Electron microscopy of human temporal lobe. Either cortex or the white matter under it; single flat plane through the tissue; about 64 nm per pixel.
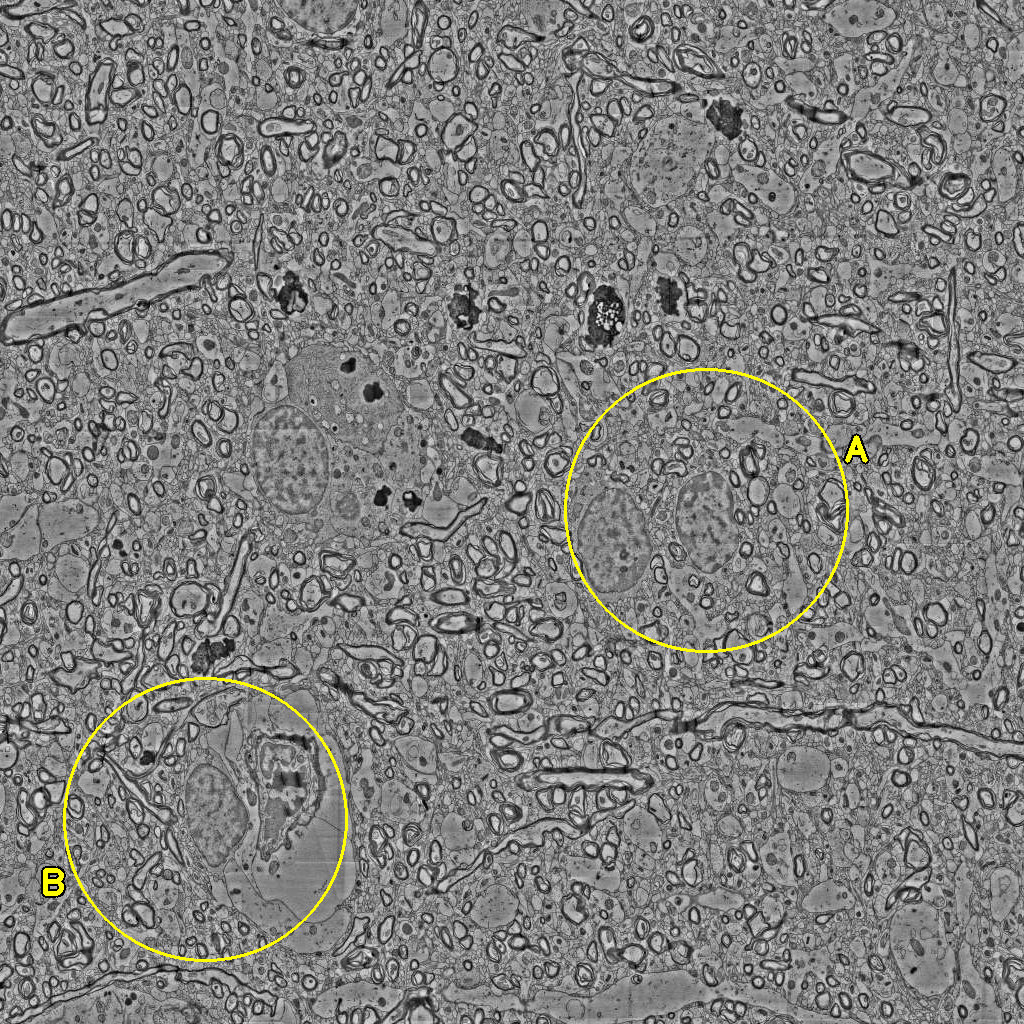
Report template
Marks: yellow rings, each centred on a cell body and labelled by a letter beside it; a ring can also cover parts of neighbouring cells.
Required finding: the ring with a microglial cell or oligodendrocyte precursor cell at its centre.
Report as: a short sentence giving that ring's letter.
Ring A holds that cell at its centre.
